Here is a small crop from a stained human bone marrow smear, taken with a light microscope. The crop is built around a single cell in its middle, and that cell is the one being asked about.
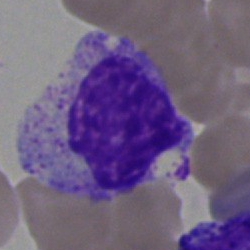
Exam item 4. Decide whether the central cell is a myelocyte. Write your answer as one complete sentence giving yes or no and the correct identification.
Yes, a myelocyte is what the central cell is.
